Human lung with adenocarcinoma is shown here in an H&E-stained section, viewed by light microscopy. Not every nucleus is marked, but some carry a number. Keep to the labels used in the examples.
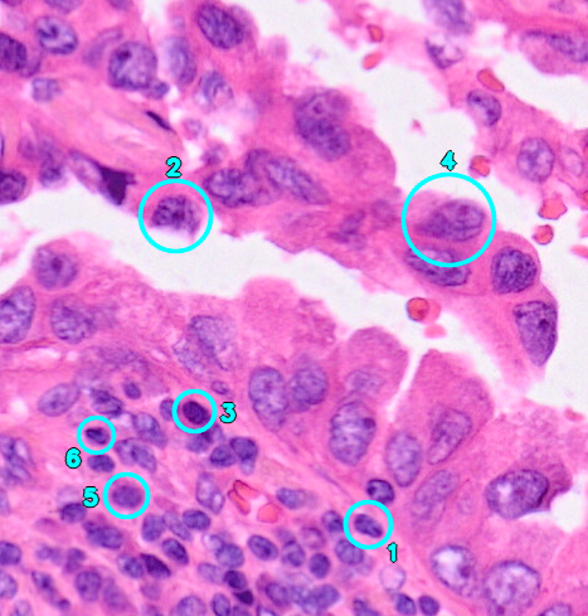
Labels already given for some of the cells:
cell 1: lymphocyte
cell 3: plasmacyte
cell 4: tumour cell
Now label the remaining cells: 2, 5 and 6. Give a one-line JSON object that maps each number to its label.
{"2": "tumour cell", "5": "plasmacyte", "6": "lymphocyte"}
